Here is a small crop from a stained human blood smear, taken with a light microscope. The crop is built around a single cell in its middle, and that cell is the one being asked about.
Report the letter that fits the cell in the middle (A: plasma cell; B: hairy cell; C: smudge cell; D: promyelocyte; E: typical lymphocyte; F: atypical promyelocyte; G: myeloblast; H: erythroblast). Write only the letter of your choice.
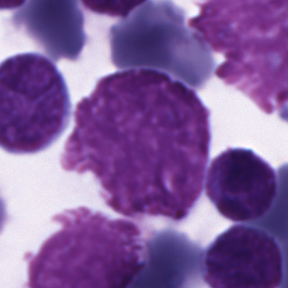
C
